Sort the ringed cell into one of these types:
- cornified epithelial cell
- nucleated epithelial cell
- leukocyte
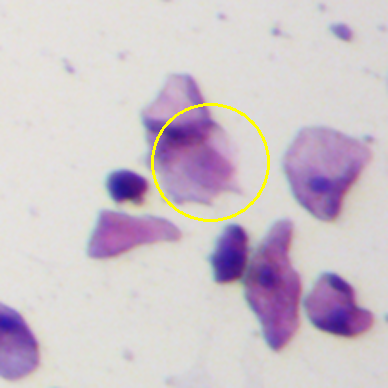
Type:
cornified epithelial cell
